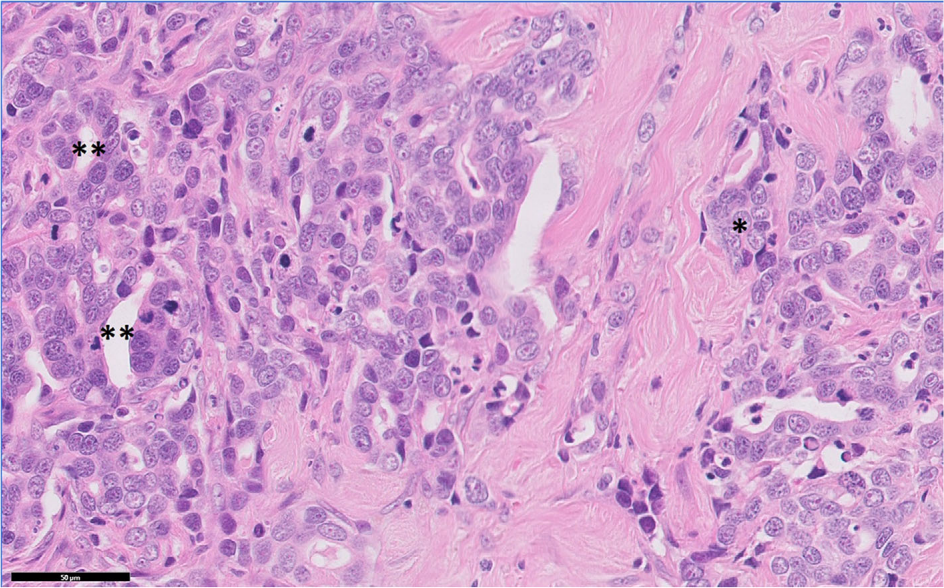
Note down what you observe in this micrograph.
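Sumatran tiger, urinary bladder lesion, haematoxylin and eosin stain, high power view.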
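Neoplastic epithelial tumour cells fill this field, mostly cuboidal in shape, set in pale pink fibrous stroma. They form solid nests and packets as well as small tubular structures around clear lumina. Nuclei are large, round to oval, with vesicular chromatin and distinct nucleoli; some nuclei are dark and hyperchromatic. Cytoplasm is moderate and pink to lightly purple, with indistinct cell borders in the solid clusters.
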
